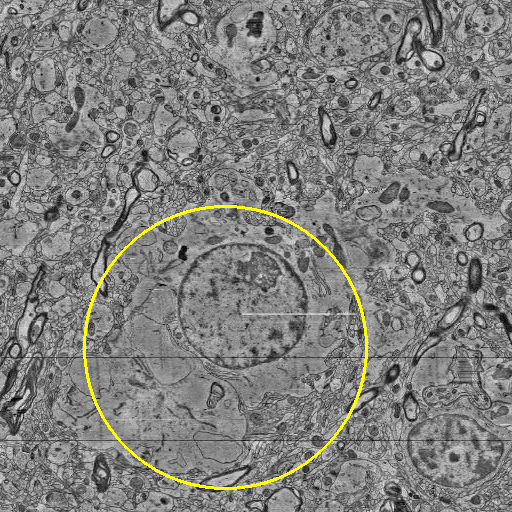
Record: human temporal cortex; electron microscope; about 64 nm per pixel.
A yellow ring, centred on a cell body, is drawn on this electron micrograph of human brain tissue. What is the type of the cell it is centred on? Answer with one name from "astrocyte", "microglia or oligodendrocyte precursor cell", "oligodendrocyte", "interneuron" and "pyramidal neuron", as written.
astrocyte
